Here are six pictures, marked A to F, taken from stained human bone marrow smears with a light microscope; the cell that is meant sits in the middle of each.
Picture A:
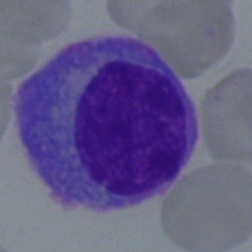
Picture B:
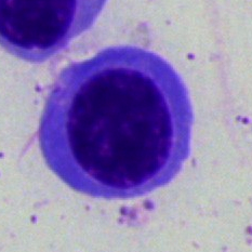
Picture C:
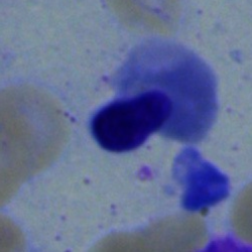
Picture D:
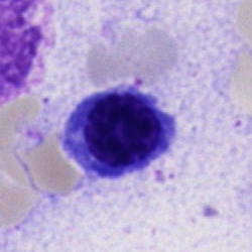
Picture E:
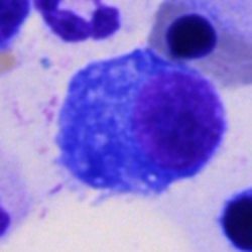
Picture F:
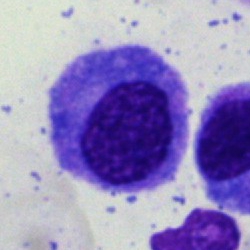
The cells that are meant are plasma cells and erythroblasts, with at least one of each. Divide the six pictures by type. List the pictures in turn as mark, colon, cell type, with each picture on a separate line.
A: plasma cell
B: erythroblast
C: erythroblast
D: erythroblast
E: plasma cell
F: plasma cell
